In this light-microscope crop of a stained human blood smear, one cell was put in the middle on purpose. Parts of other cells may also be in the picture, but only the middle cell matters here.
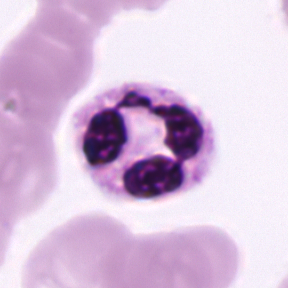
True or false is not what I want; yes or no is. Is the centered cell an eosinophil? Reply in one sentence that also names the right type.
No, this is not an eosinophil at all; the cell in the middle is a neutrophil.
